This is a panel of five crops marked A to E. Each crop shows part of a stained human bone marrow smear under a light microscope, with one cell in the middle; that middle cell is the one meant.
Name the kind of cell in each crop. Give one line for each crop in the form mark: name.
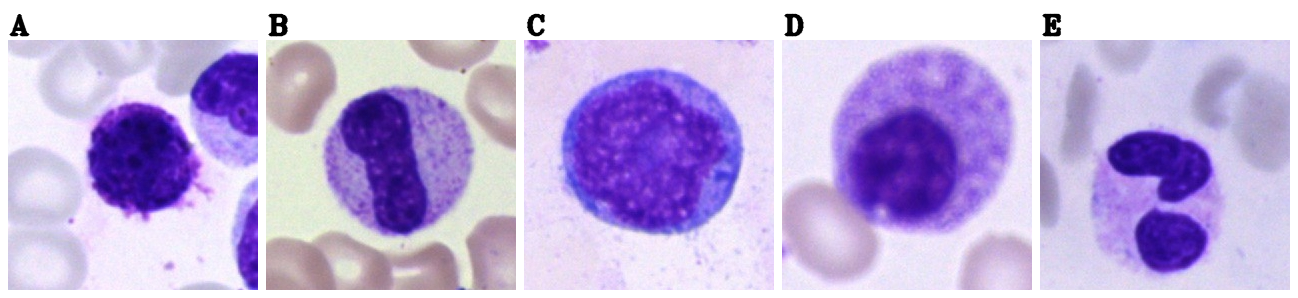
A: basophil
B: band neutrophil
C: blast
D: myelocyte
E: segmented neutrophil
